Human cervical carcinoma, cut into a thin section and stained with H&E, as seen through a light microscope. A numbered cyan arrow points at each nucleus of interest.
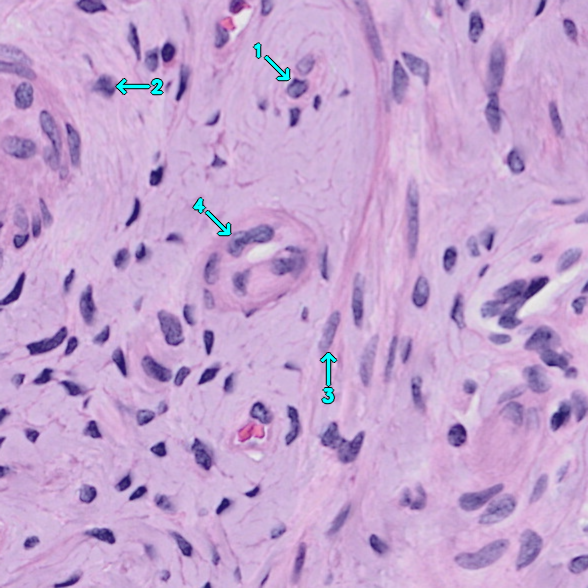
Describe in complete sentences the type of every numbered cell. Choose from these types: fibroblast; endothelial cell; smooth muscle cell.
Cells 1 and 4 are endothelial cells. Cell 2 is a fibroblast. Cell 3 is a smooth muscle cell.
